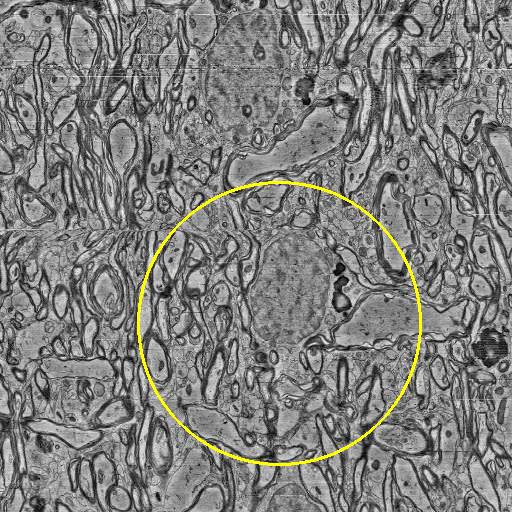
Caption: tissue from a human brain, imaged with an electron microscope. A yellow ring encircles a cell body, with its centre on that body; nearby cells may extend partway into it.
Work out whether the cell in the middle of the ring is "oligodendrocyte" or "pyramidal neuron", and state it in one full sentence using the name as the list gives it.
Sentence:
In the picture, the cell that the yellow ring surrounds at its centre is an oligodendrocyte.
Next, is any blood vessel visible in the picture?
No, there is no blood vessel in the image.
